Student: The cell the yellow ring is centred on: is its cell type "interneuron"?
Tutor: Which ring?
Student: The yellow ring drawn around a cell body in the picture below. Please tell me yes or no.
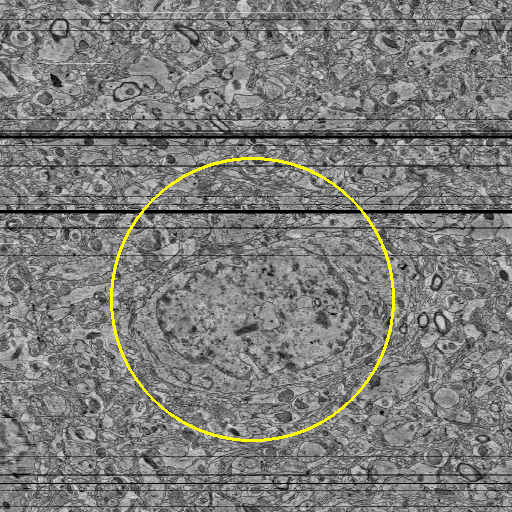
yes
